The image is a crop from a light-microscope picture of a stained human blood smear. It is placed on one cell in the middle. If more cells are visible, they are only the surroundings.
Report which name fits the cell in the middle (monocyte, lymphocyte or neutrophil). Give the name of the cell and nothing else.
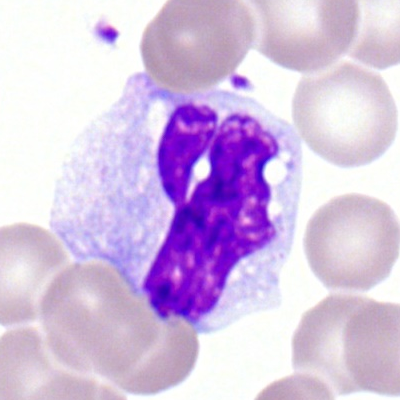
monocyte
